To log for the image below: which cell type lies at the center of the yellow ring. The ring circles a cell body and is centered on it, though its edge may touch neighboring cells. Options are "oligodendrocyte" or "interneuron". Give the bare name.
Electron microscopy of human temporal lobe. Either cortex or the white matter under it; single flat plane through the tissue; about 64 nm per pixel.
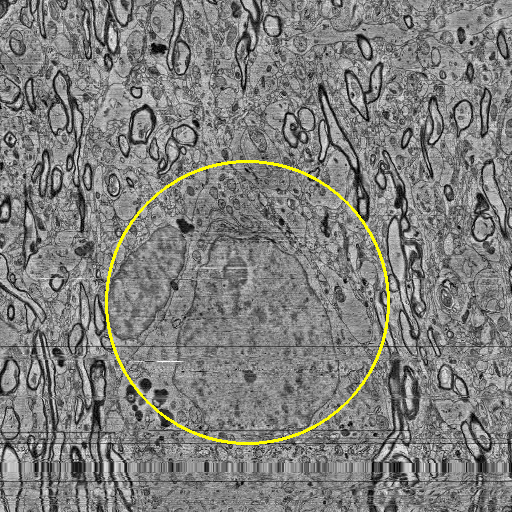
interneuron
